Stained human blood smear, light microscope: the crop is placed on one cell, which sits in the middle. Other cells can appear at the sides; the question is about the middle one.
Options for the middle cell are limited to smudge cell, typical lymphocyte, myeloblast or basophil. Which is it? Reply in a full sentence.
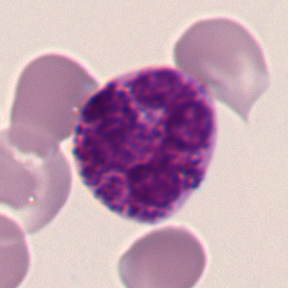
The cell that lies at the centre of the crop is a basophil.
